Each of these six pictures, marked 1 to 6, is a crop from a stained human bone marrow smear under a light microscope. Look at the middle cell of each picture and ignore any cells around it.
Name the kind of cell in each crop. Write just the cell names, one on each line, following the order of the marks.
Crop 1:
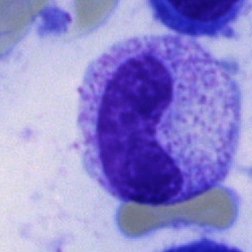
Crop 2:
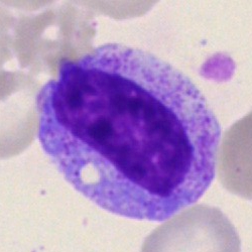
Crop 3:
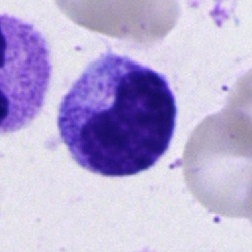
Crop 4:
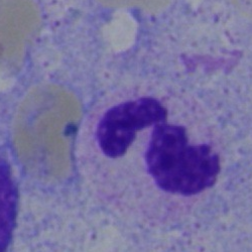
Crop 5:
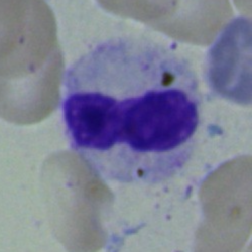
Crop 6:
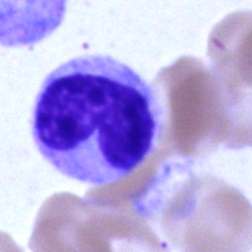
band neutrophil
metamyelocyte
metamyelocyte
segmented neutrophil
band neutrophil
metamyelocyte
